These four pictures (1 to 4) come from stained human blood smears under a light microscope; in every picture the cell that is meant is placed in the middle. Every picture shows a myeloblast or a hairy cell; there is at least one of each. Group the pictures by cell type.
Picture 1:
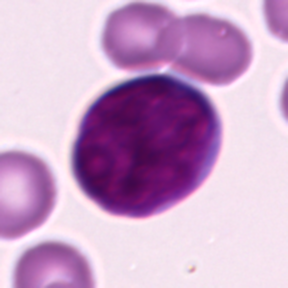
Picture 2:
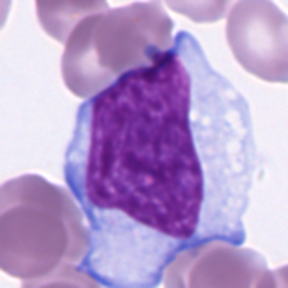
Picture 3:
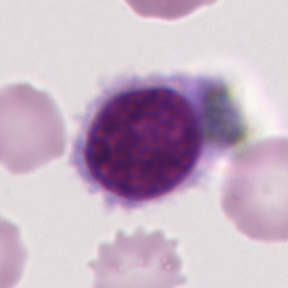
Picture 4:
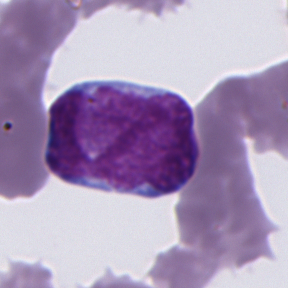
1: myeloblast
2: myeloblast
3: hairy cell
4: myeloblast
